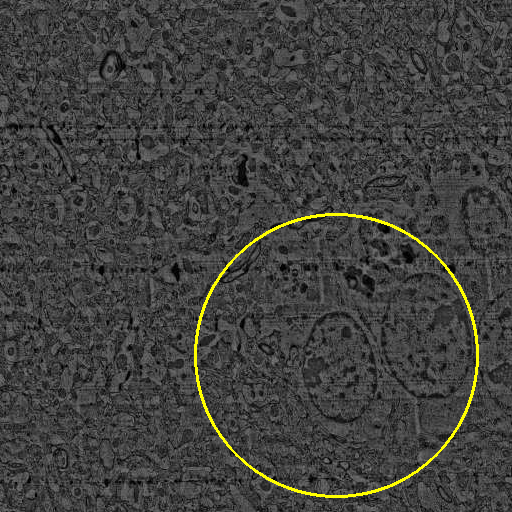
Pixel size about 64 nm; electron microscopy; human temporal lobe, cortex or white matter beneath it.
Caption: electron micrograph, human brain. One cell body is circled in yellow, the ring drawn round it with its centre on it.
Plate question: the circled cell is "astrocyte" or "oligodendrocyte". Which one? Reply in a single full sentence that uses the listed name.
The yellow ring on the plate is centred on an astrocyte, going by the listed names.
